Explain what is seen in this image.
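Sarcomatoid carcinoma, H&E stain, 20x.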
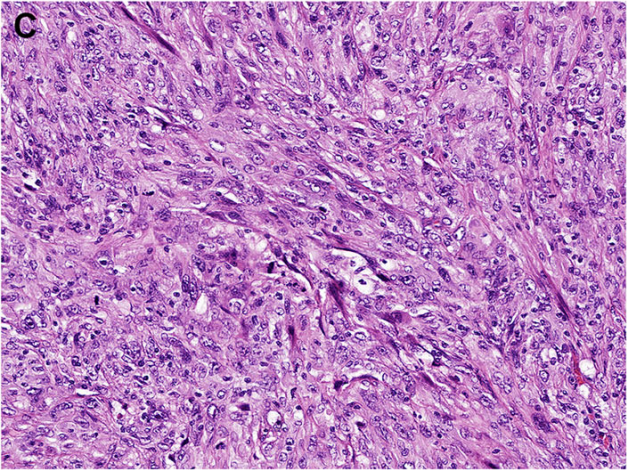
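The nuclei are crowded, hyperchromatic to vesicular and clearly atypical, varying in size and shape. Occasional enlarged, darker bizarre nuclei stand out. The cytoplasm is pink and ill-defined, and small clear spaces are scattered through the sheet.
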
